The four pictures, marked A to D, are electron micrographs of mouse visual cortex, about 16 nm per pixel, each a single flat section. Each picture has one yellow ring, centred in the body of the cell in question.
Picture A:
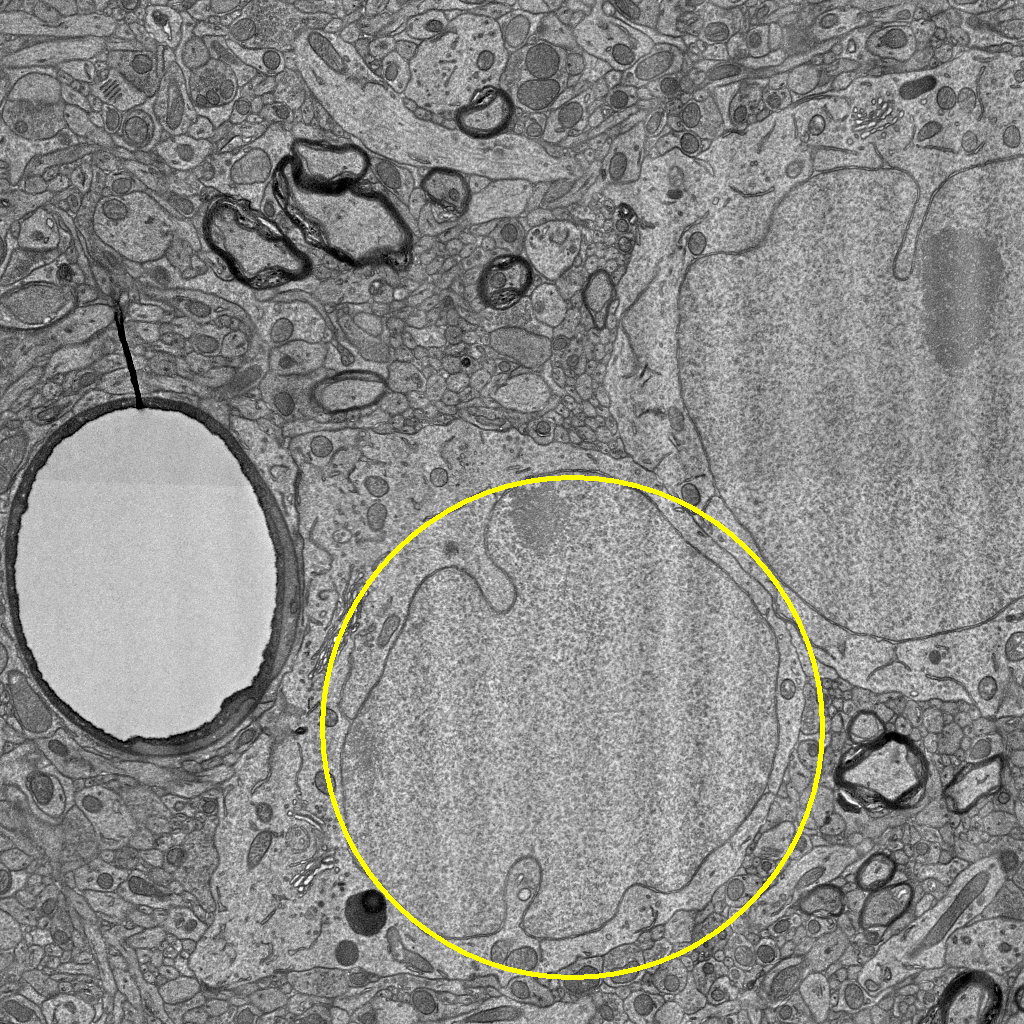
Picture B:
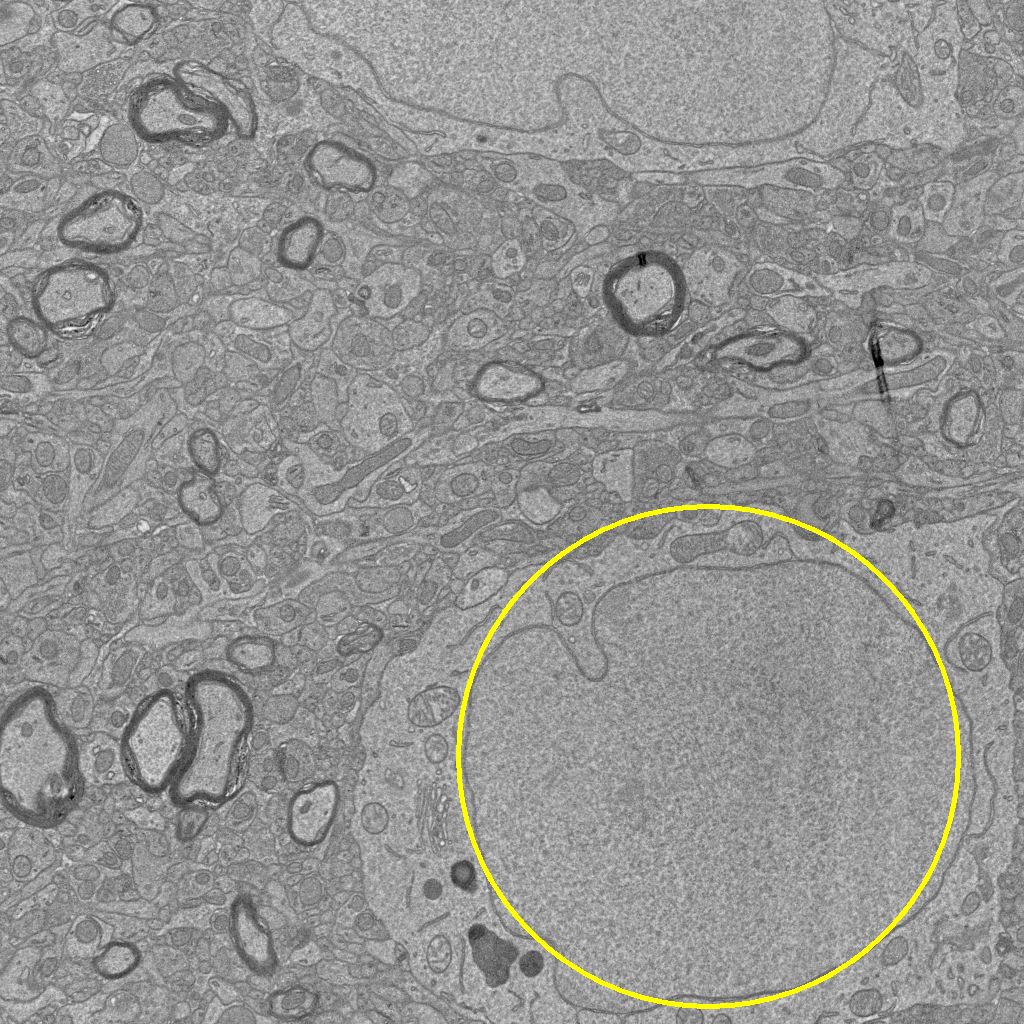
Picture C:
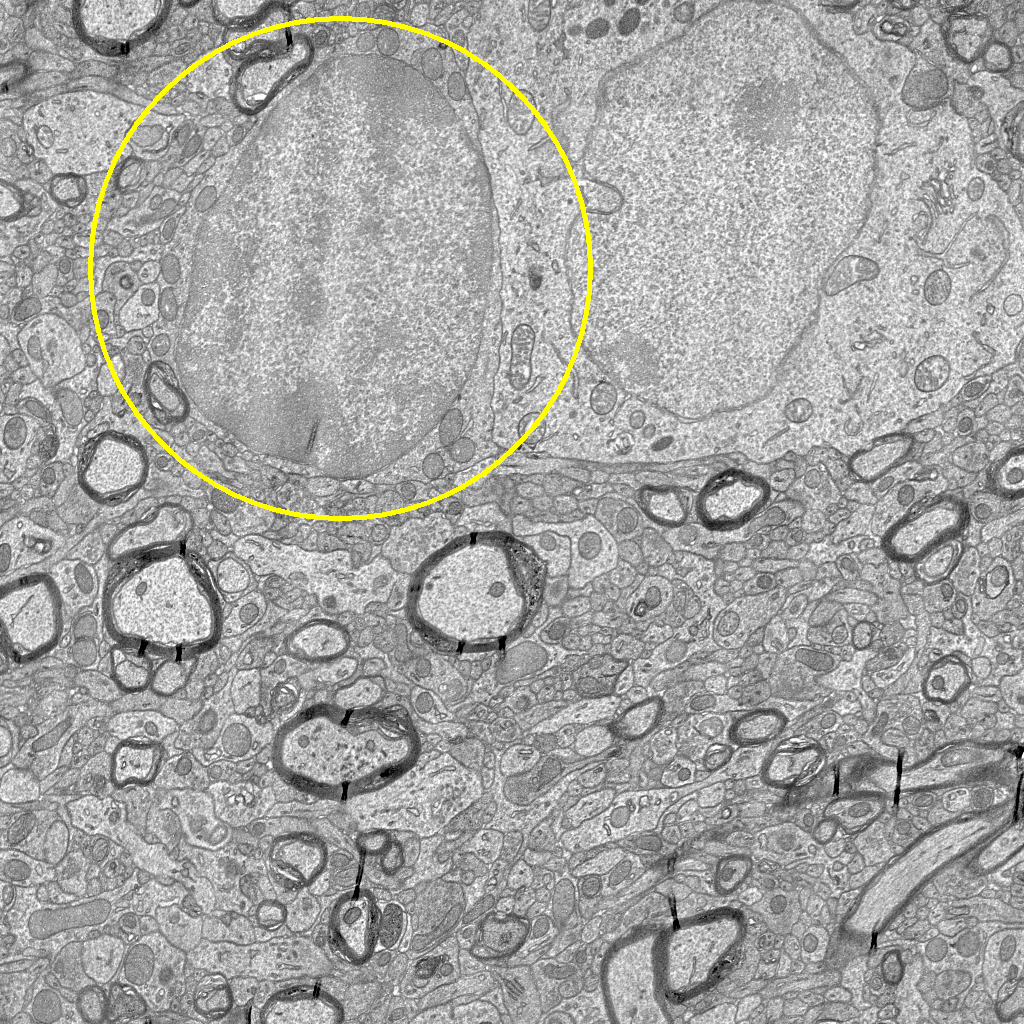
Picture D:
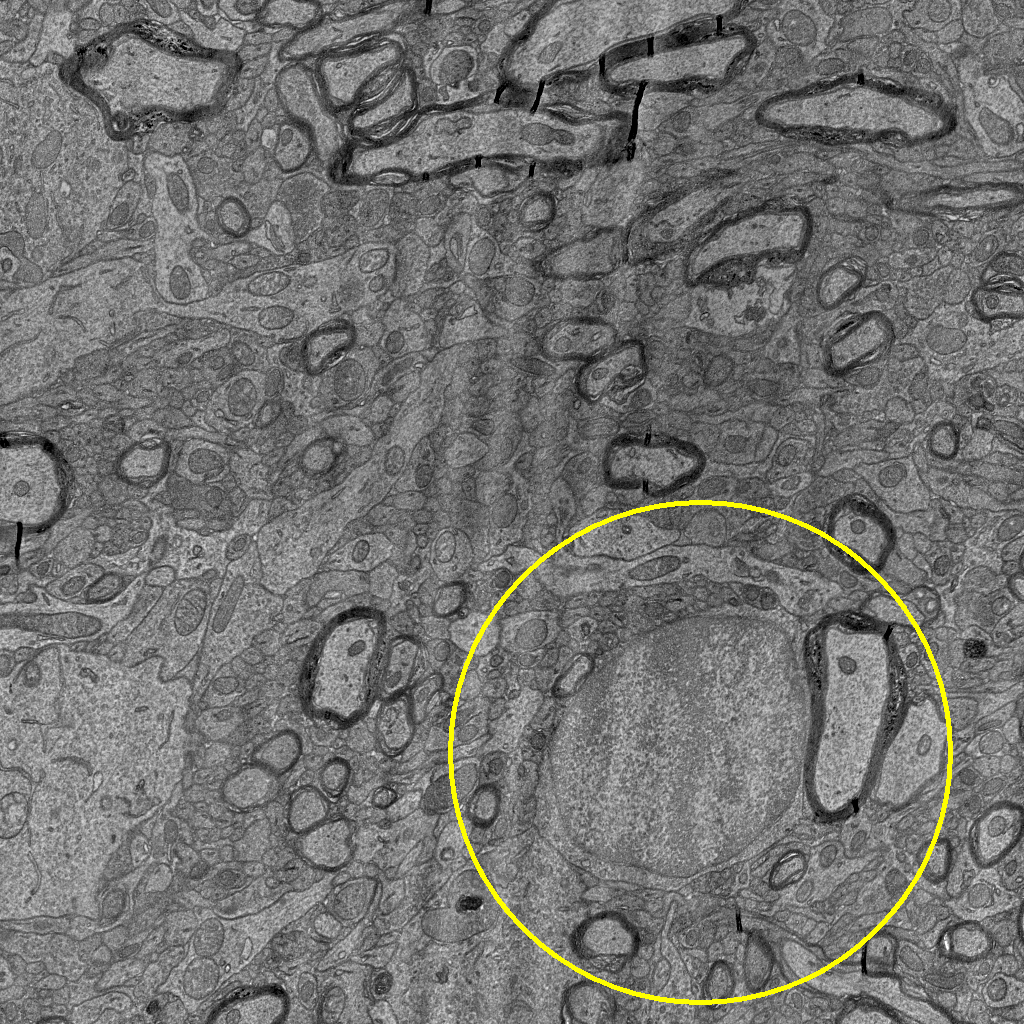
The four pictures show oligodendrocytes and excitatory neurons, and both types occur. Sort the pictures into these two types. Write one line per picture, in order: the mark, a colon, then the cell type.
A: excitatory neuron
B: excitatory neuron
C: oligodendrocyte
D: oligodendrocyte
